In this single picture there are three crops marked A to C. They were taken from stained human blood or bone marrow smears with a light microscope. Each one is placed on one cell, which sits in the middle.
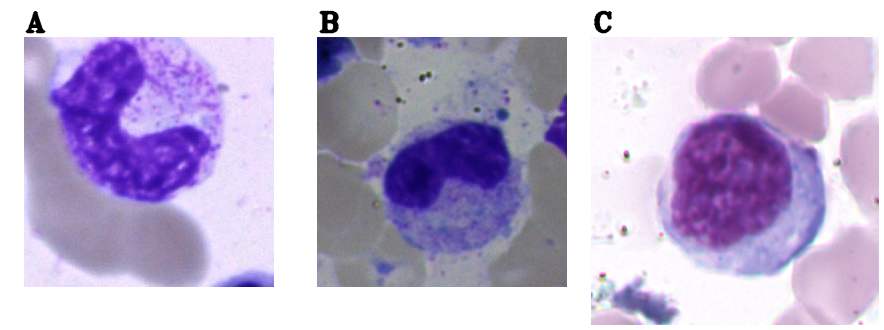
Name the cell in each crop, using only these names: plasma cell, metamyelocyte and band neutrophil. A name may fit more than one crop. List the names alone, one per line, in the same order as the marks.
band neutrophil
metamyelocyte
plasma cell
